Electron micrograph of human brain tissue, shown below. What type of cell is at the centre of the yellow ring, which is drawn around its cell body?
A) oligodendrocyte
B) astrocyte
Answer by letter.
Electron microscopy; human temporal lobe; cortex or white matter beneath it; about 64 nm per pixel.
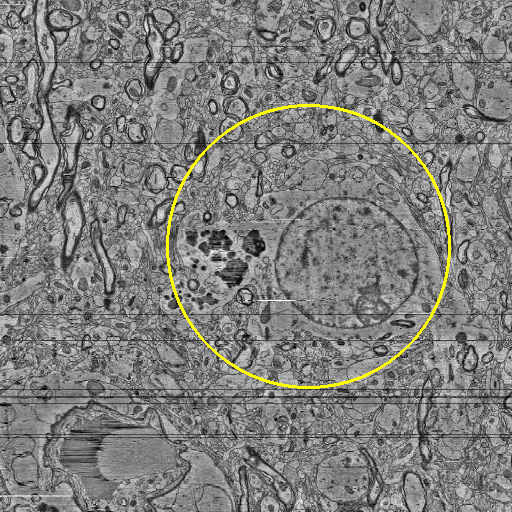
B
